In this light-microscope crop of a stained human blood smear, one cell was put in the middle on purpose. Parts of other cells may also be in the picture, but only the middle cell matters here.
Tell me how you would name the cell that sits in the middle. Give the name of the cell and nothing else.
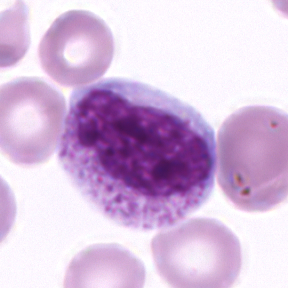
metamyelocyte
